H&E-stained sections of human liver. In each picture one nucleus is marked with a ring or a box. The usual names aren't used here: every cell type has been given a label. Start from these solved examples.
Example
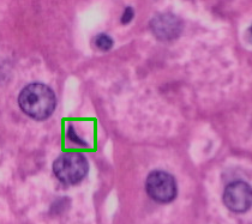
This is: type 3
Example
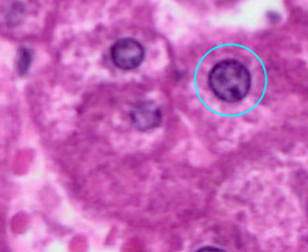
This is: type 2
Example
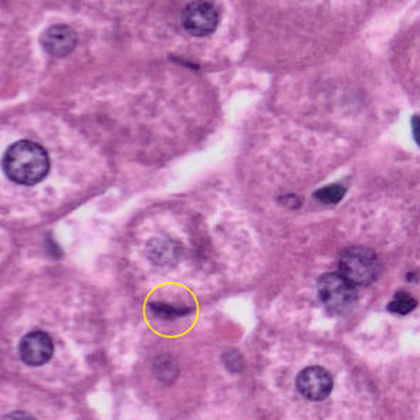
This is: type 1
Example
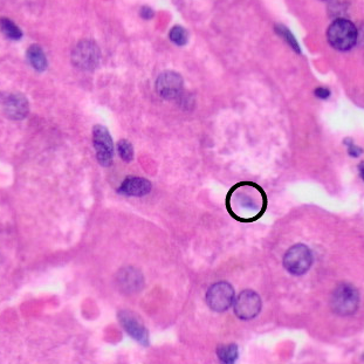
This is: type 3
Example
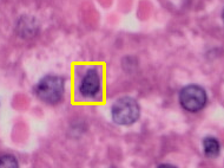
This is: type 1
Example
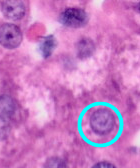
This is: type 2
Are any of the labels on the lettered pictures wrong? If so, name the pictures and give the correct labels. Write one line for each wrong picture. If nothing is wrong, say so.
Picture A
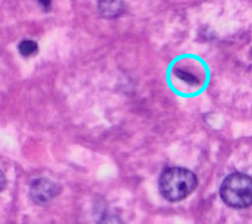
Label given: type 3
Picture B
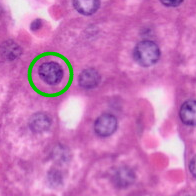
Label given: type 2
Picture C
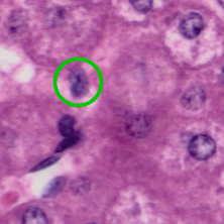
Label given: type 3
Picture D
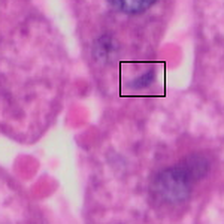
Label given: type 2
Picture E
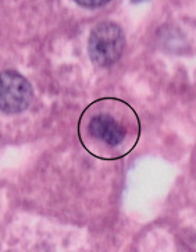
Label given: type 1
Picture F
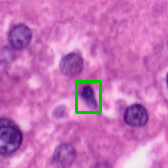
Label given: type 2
D: change type 2 to type 1
F: change type 2 to type 1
